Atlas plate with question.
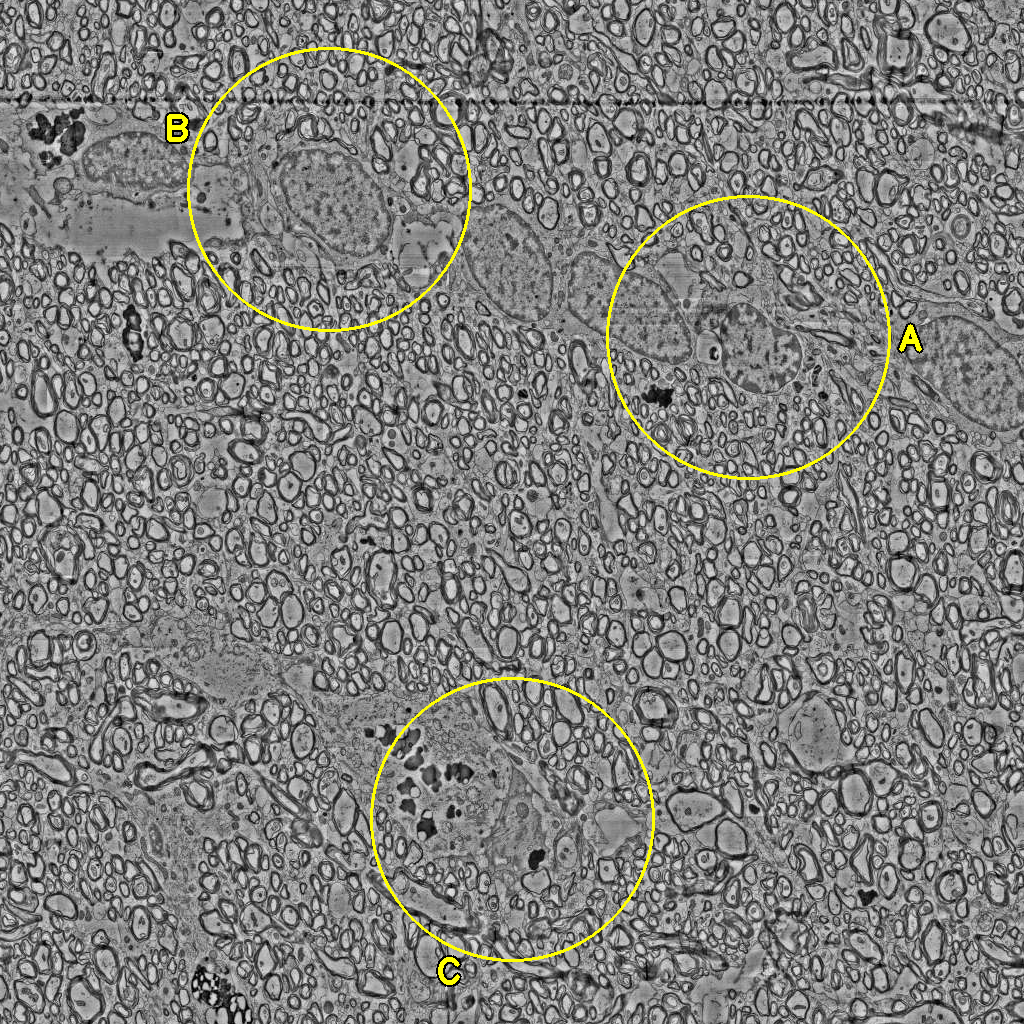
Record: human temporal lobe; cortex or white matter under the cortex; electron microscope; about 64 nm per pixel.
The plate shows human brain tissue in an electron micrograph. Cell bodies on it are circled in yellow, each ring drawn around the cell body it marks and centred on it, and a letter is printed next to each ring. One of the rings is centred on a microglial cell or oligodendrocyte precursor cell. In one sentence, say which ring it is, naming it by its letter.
It is ring A.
